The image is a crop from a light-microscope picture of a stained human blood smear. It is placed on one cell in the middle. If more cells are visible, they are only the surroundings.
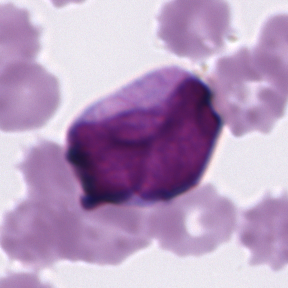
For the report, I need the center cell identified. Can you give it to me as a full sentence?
Classification of the middle cell gives a blast.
